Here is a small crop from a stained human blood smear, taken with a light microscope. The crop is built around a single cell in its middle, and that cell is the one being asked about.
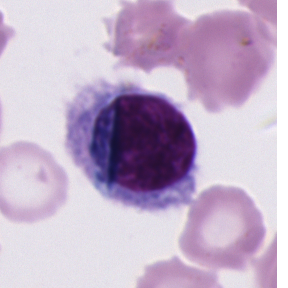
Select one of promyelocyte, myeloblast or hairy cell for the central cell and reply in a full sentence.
This crop's central cell is a hairy cell.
